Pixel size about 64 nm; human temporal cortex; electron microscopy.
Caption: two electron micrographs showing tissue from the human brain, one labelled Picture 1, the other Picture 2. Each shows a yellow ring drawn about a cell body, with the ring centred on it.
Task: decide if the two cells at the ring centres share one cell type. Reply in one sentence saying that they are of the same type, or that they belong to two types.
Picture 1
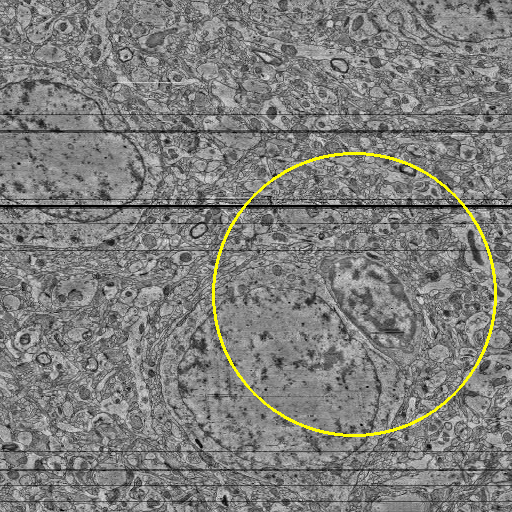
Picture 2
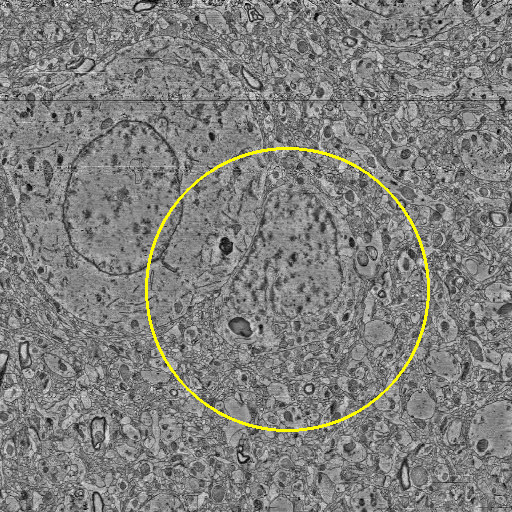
The cells at the ring centres in Picture 1 and Picture 2 belong to two types.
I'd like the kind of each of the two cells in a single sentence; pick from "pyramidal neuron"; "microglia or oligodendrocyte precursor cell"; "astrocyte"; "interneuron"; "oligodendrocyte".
The first ring marks an oligodendrocyte, and the second ring marks an interneuron.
